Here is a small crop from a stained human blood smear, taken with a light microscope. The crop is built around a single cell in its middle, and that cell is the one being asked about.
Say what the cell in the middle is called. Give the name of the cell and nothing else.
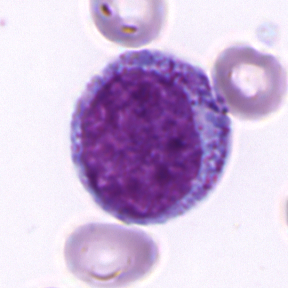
promyelocyte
